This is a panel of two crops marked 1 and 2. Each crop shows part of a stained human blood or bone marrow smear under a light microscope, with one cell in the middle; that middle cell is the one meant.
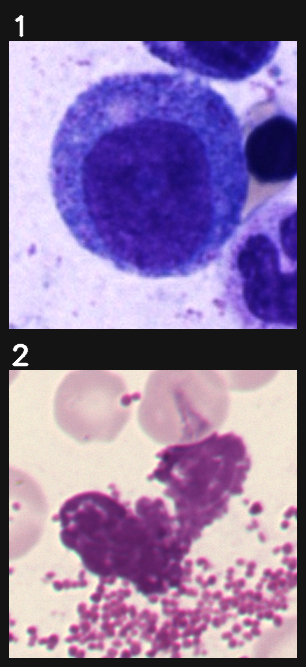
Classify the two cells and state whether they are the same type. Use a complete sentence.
No, a promyelocyte is the subject of crop 1, and an eosinophil is the subject of crop 2.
